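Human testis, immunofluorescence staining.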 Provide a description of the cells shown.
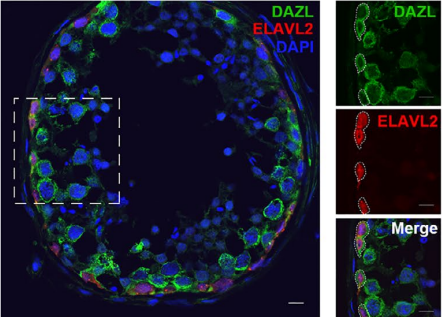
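Round blue nuclei are scattered through the epithelium, and many of the larger germ cells are ringed by green staining in their cytoplasm. Toward the lumen the cells are looser and more scattered, leaving much of the centre dark.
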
